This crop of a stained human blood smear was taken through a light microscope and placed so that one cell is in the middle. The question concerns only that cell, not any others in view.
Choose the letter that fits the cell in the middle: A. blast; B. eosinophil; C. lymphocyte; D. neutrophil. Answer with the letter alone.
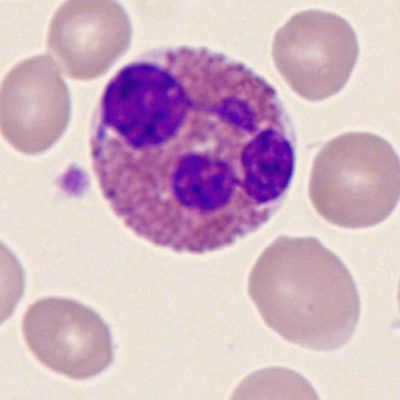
B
